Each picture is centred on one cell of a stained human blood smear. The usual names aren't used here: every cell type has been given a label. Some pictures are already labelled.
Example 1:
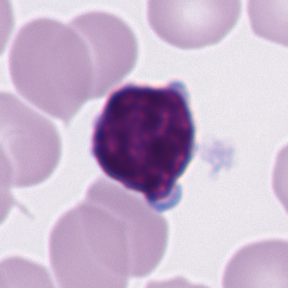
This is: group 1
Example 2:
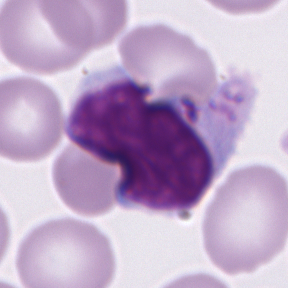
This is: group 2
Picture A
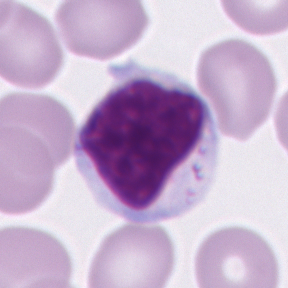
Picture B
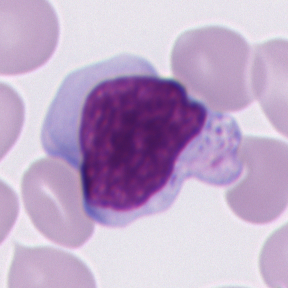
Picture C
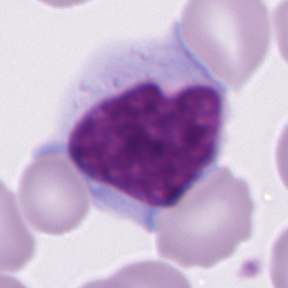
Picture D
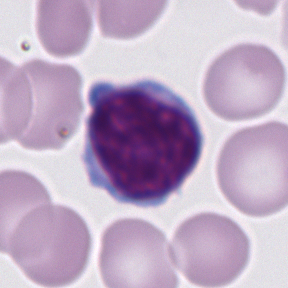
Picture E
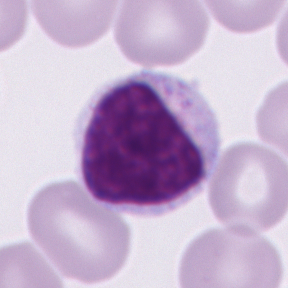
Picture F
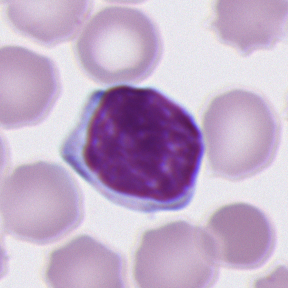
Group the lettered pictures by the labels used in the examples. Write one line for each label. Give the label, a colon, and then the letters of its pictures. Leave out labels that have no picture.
group 1: D, F
group 2: A, B, C, E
